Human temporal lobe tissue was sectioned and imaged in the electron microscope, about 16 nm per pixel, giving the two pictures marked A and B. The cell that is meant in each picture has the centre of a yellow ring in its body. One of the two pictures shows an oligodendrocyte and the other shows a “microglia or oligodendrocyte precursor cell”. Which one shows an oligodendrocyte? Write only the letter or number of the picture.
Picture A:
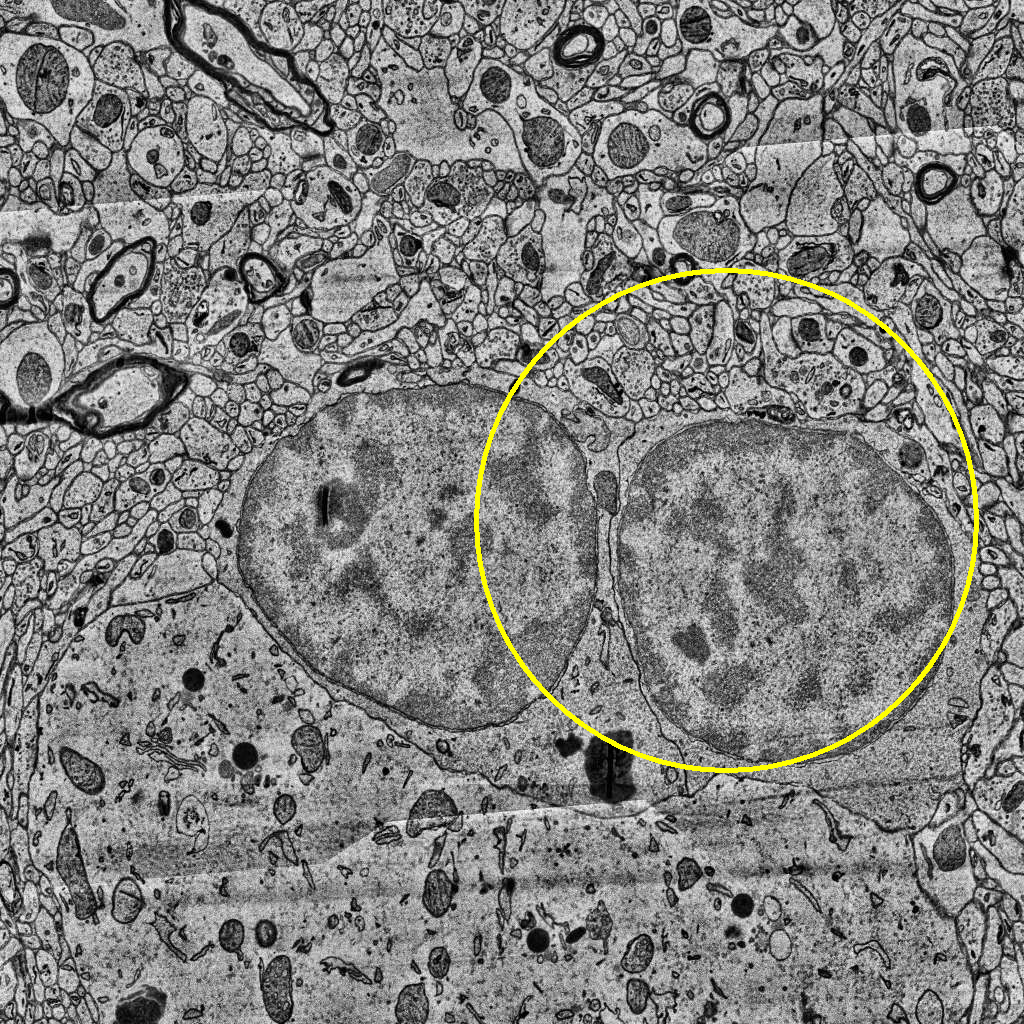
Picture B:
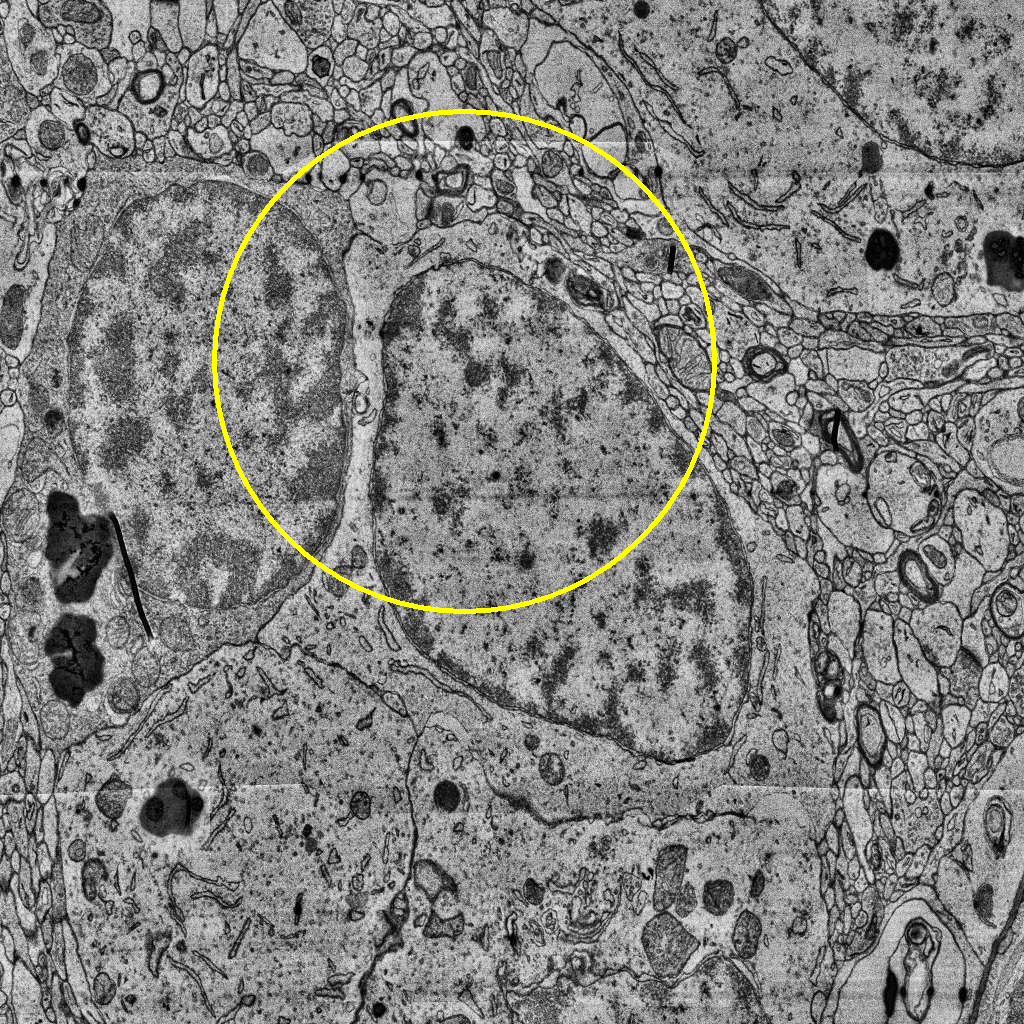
A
